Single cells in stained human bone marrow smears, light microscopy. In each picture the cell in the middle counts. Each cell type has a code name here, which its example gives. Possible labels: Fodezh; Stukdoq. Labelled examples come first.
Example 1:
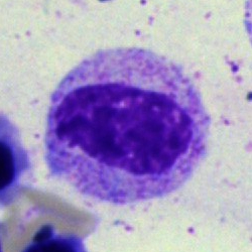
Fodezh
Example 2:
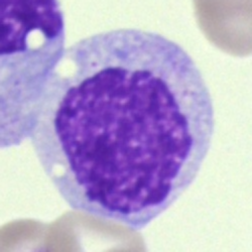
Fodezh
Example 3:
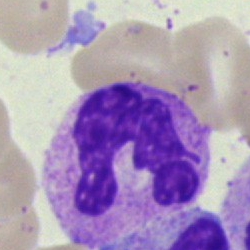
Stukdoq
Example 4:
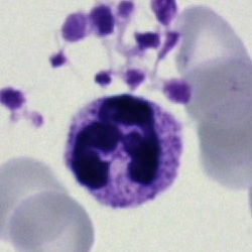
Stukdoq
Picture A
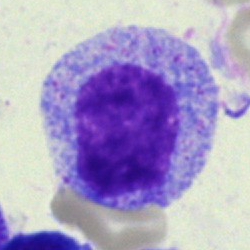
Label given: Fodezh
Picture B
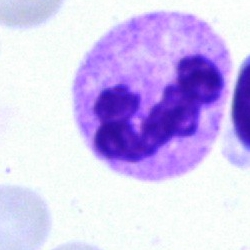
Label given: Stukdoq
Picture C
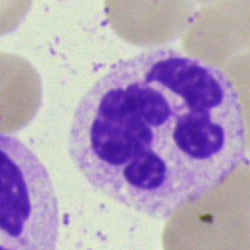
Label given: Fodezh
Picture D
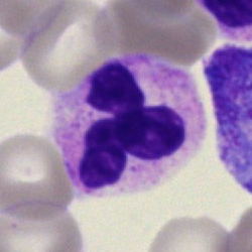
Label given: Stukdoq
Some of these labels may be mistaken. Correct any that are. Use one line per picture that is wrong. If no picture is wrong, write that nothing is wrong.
C should be Stukdoq, not Fodezh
